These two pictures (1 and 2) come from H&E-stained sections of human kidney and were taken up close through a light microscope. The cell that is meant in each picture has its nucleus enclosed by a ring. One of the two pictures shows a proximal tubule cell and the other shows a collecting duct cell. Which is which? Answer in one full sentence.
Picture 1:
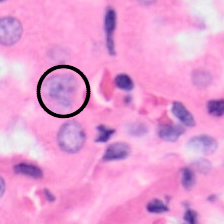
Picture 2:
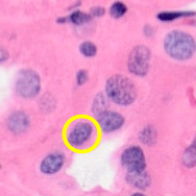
It is picture 1 that shows a proximal tubule cell, and picture 2 that shows a collecting duct cell.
